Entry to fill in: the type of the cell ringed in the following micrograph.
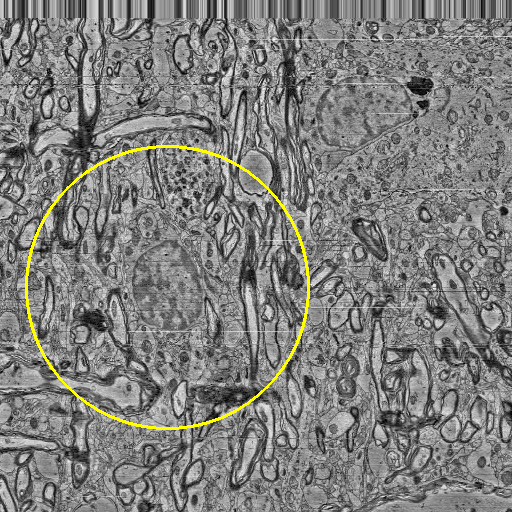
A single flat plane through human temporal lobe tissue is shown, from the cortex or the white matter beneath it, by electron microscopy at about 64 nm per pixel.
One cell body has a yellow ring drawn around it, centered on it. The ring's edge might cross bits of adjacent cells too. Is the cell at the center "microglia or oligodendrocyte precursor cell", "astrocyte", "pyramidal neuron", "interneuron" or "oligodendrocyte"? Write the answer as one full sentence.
This entry names an oligodendrocyte as the cell whose body lies at the ring's center.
